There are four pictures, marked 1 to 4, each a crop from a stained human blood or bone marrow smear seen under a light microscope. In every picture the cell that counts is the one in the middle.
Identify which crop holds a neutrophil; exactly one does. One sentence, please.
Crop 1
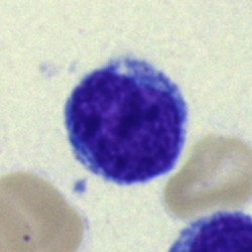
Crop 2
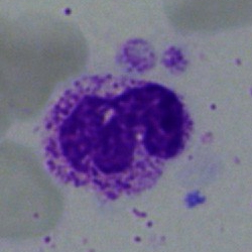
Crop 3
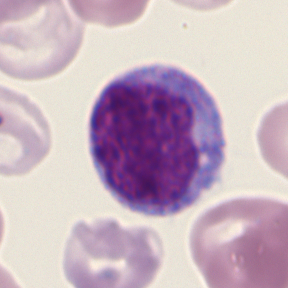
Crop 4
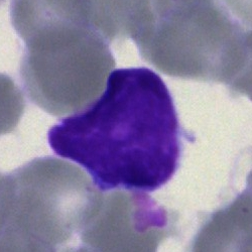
In the set of crops, crop 2 is the one that contains a neutrophil.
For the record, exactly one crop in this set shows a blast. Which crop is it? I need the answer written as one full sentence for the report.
Of these crops, it is crop 1 that shows a blast.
